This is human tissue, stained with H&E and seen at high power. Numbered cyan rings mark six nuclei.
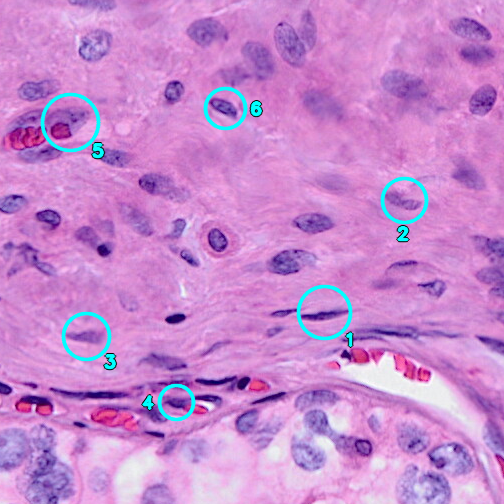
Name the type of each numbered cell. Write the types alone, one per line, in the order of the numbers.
fibroblast
fibroblast
fibroblast
endothelial cell
endothelial cell
fibroblast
